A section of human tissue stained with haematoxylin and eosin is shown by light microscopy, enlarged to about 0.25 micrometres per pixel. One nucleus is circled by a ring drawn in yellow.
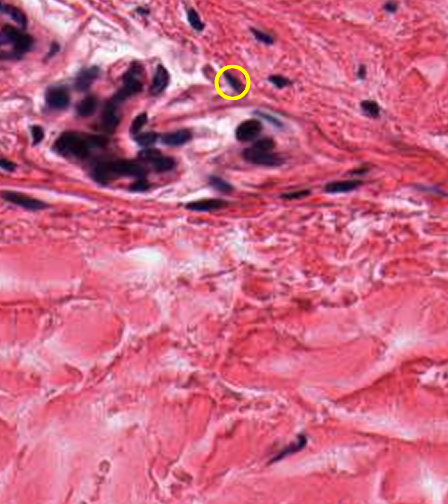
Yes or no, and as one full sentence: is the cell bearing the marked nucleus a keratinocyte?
No, the cell whose nucleus is marked is a supporting cell and not a keratinocyte.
